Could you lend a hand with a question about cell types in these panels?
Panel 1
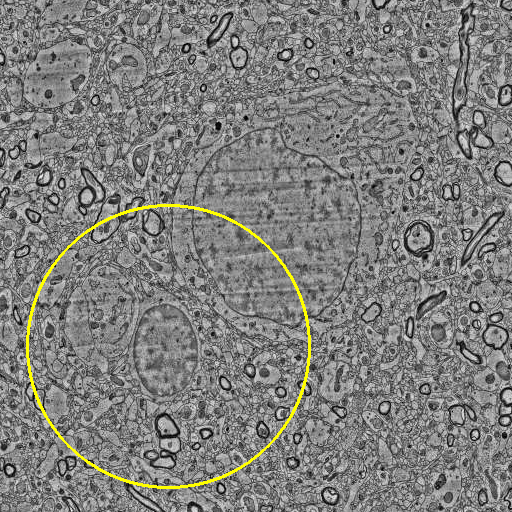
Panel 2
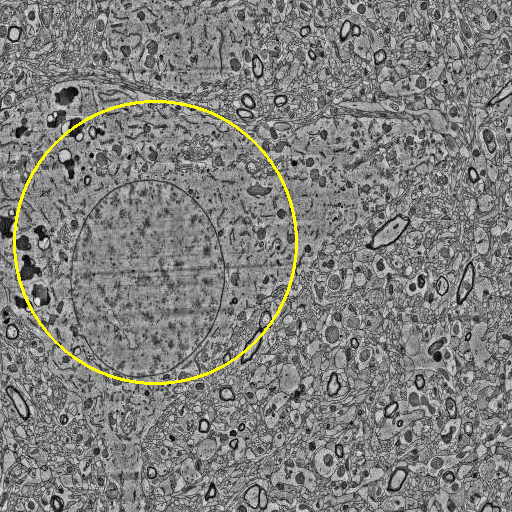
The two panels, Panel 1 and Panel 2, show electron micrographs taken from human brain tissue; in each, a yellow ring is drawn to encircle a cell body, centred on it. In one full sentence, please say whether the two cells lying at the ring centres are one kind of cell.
No, the cells at the ring centres in the two panels are two kinds of cell.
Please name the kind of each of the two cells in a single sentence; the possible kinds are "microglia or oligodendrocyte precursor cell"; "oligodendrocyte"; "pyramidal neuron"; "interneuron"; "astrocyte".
In the first picture the ring is centred on an oligodendrocyte, and in the second on a pyramidal neuron.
